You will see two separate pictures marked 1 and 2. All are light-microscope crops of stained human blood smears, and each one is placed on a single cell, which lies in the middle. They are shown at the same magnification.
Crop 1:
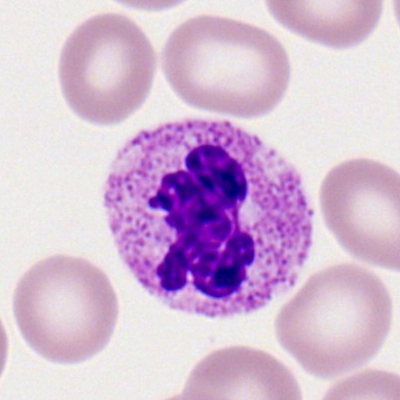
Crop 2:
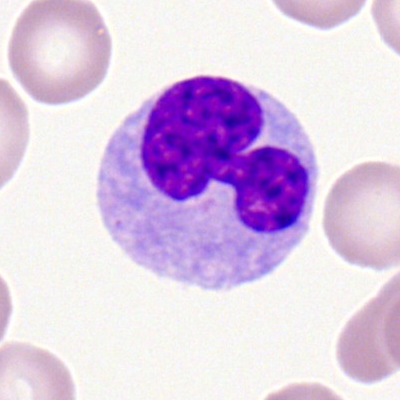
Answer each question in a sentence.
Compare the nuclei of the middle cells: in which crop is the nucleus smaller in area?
It is the nucleus in crop 1; the one in crop 2 has about 1.5 times its area.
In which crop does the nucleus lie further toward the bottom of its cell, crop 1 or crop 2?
In crop 1 the nucleus is shifted more toward the bottom.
